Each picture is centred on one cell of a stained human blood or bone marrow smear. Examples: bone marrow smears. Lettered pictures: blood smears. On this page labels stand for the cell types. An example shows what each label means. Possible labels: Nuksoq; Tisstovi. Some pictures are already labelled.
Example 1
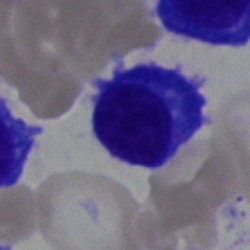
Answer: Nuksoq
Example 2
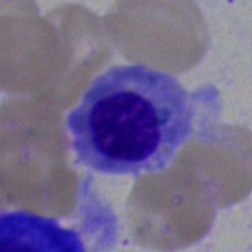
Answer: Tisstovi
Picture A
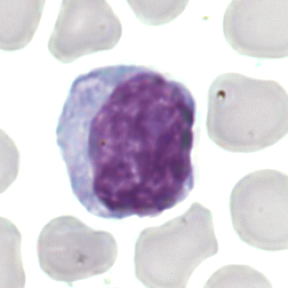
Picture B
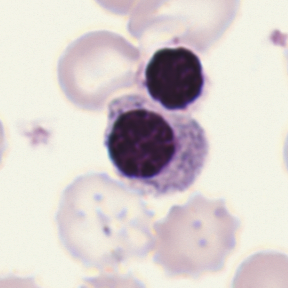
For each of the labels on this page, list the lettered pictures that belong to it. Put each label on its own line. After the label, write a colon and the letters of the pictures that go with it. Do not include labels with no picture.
Nuksoq: A
Tisstovi: B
